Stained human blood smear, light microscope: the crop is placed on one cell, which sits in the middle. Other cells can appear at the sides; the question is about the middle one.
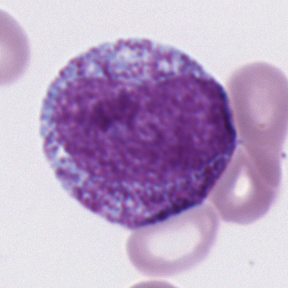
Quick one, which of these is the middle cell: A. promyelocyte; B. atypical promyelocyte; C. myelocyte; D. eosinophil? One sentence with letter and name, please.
According to option C, which is correct, the cell in the middle is a myelocyte.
